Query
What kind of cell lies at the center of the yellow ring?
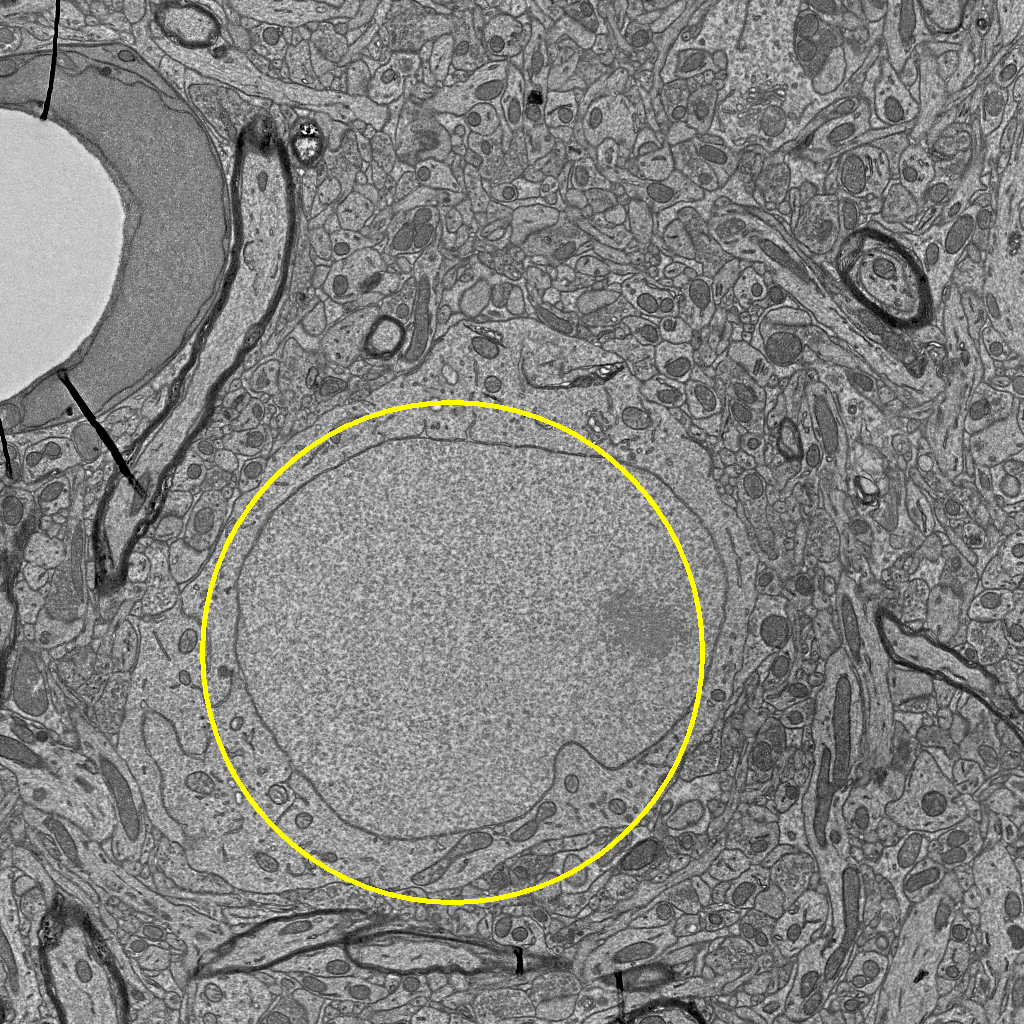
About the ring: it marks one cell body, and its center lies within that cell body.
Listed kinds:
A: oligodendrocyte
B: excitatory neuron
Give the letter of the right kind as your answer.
B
